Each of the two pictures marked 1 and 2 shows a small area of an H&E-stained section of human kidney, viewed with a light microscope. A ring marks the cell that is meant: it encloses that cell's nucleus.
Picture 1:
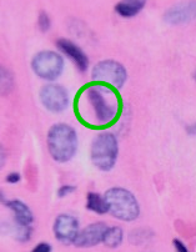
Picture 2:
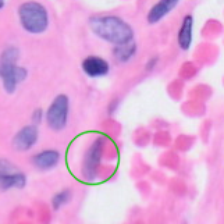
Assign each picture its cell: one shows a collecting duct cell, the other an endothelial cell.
1: collecting duct cell
2: endothelial cell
